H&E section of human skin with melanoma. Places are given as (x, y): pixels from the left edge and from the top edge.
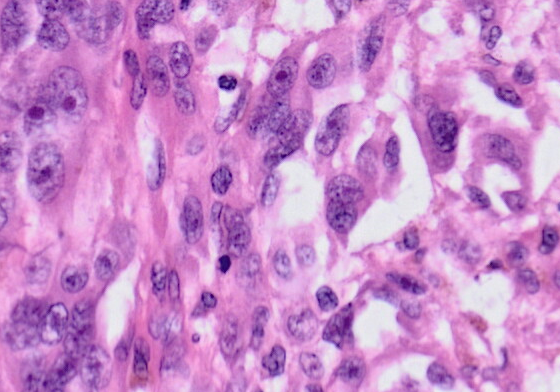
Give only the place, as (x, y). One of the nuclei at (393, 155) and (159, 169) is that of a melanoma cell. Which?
(393, 155)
